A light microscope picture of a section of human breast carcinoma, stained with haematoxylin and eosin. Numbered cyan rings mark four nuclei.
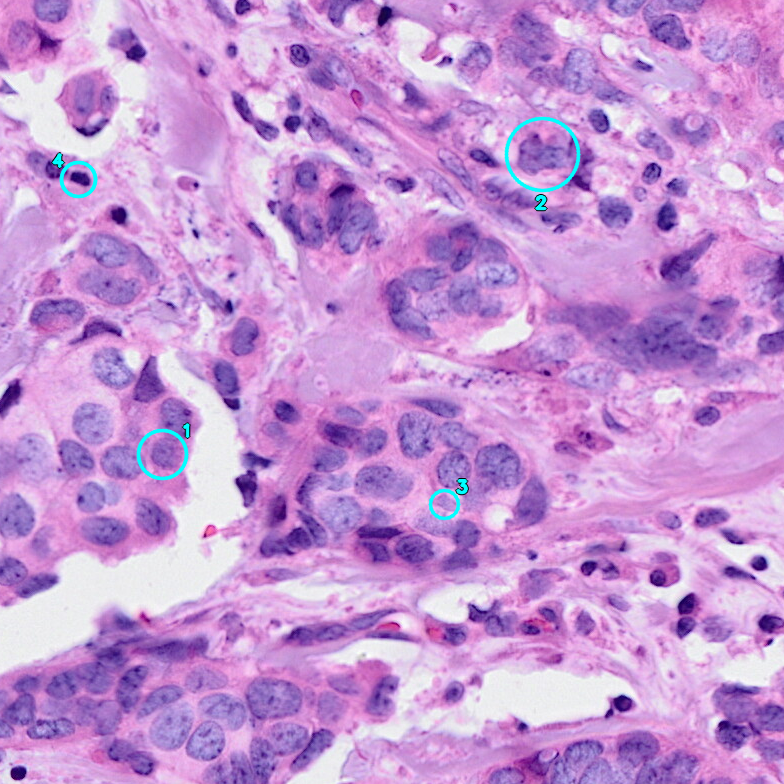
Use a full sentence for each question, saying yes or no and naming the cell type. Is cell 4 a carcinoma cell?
No, with respect, cell 4 is a lymphocyte rather than a carcinoma cell.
